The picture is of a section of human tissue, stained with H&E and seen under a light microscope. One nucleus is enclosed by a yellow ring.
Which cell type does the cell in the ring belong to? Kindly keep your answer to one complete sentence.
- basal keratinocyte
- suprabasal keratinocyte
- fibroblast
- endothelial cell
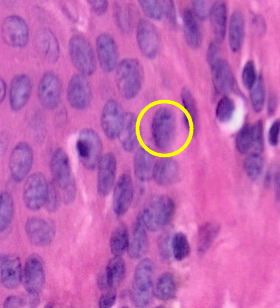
Speaking plainly, the cell in the ring is nothing other than a basal keratinocyte.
